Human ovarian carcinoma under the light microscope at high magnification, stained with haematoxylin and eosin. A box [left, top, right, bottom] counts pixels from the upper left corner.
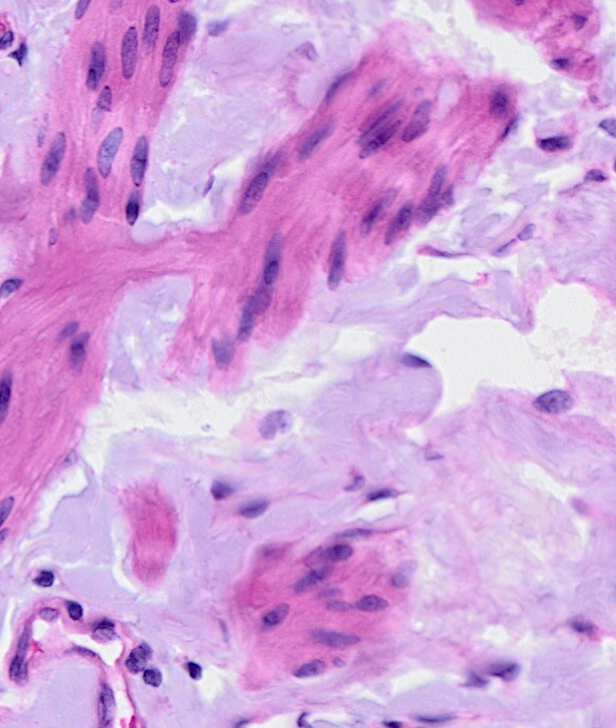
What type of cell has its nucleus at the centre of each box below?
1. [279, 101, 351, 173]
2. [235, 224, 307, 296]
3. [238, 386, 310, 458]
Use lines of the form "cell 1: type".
cell 1: smooth muscle cell
cell 2: smooth muscle cell
cell 3: fibroblast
